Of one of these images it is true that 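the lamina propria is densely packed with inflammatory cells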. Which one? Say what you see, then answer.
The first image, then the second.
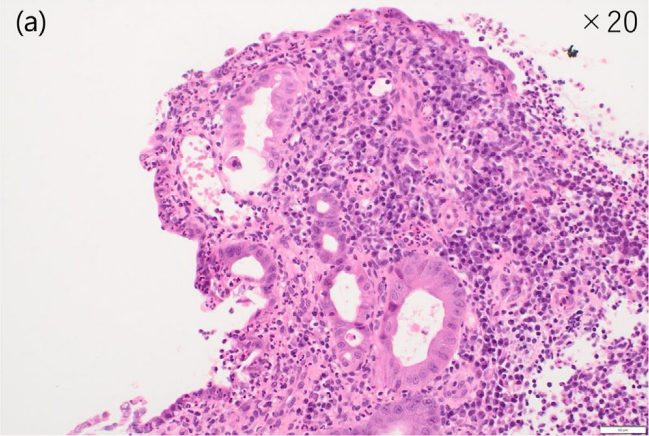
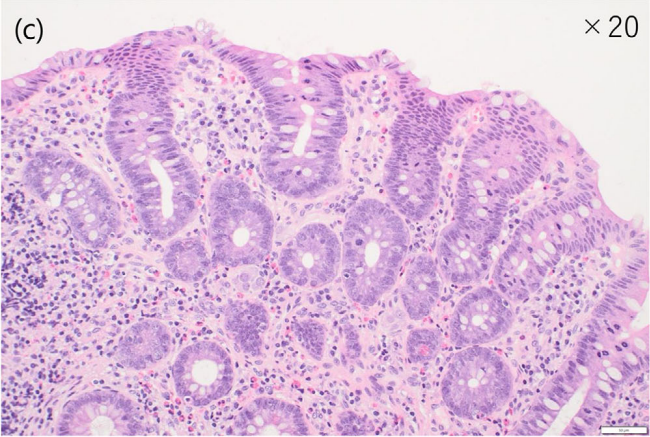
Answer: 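The first image. Second image: evenly spaced crypts with only a moderate number of cells in the stroma between them. First image: sparse, distorted crypts set in a dense sheet of small dark inflammatory cells.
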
